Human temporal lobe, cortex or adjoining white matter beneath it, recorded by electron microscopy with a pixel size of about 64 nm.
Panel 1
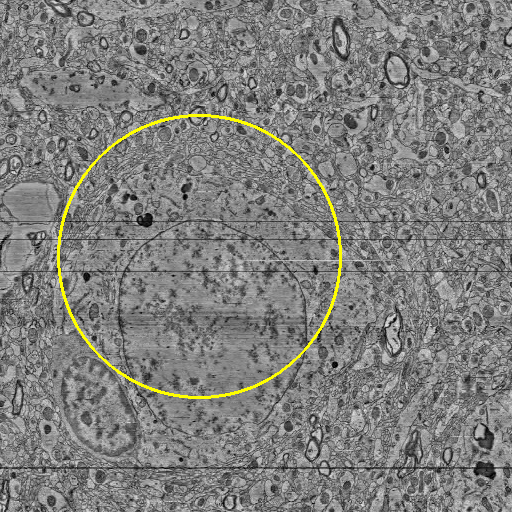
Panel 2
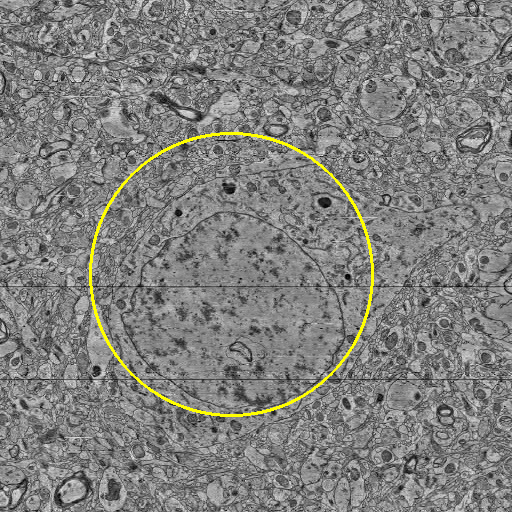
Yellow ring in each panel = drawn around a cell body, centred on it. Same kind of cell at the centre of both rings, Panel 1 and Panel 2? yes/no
yes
